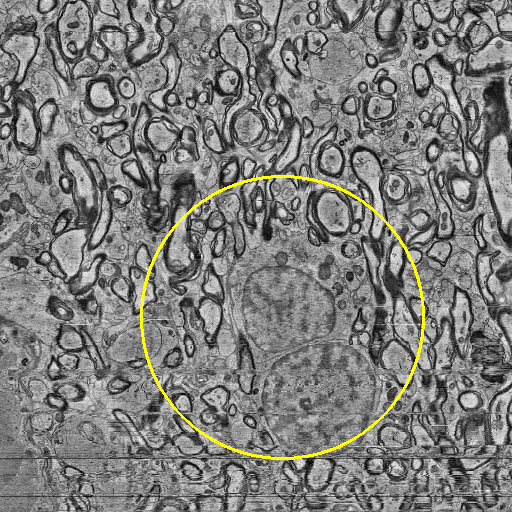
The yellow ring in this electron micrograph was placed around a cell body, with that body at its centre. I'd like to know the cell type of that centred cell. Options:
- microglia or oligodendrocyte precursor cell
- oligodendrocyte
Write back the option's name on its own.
oligodendrocyte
